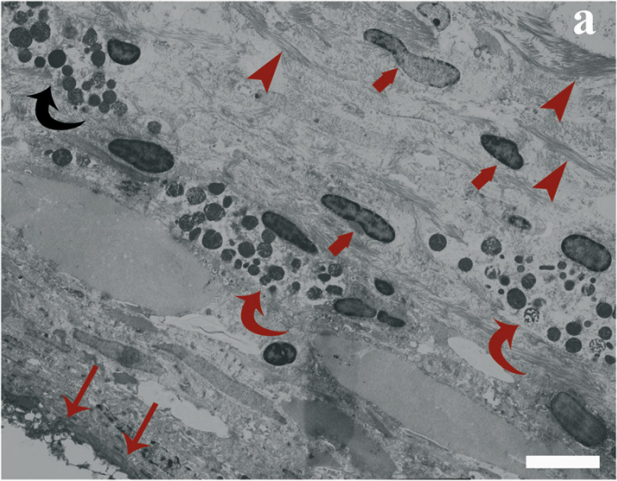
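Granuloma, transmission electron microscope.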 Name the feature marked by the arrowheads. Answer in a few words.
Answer: connective fibres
